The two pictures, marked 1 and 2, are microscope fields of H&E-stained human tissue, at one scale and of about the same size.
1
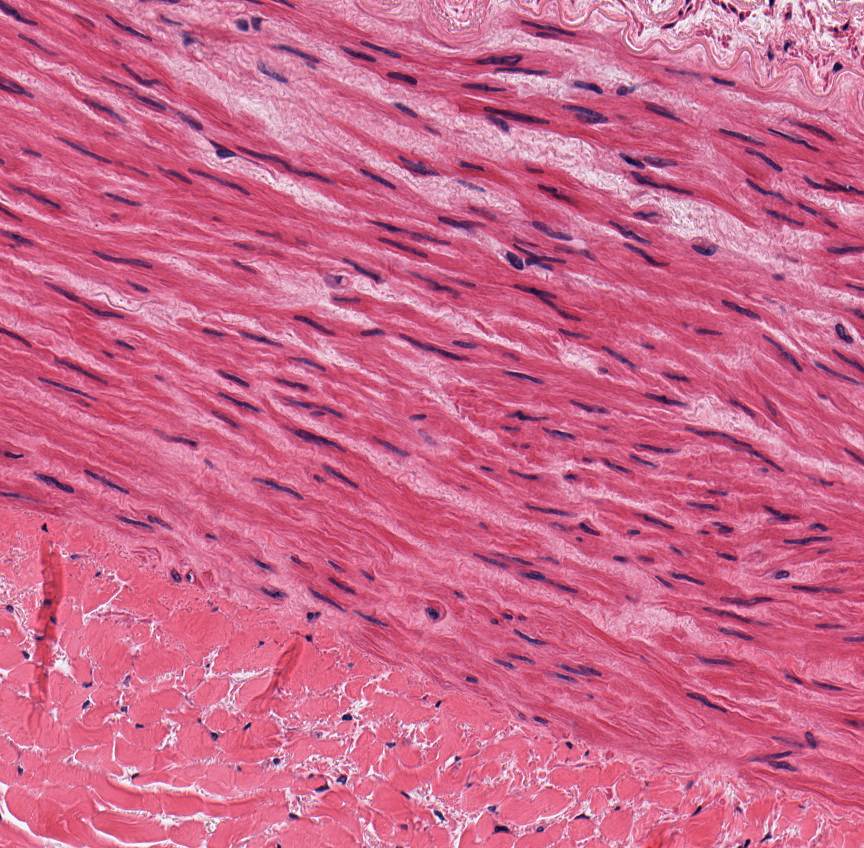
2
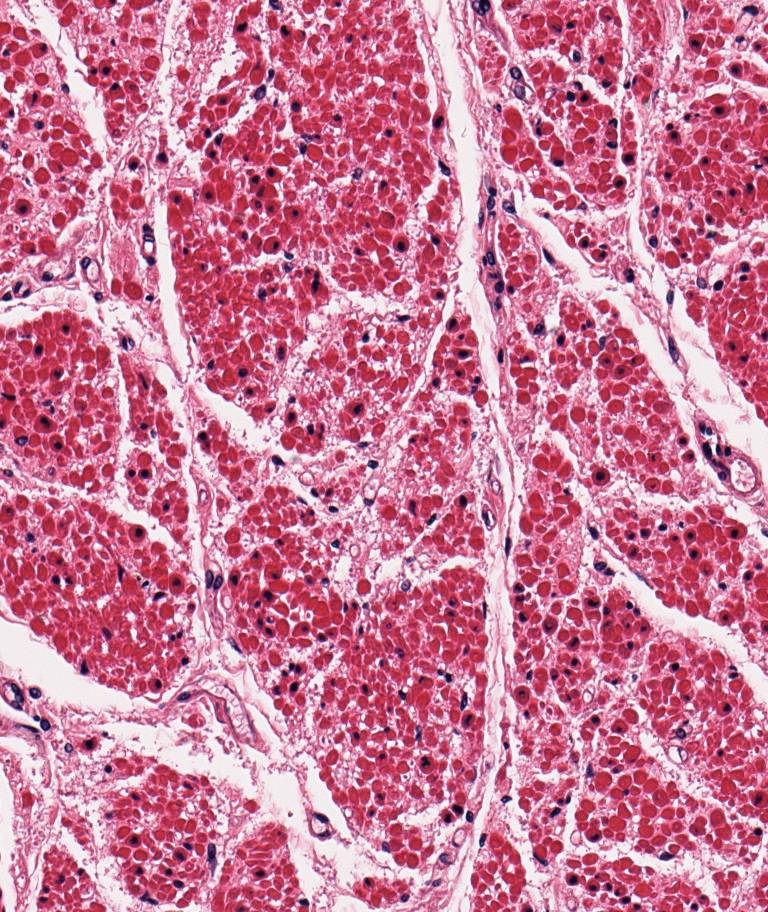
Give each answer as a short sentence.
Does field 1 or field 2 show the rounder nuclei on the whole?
The nuclei are rounder in field 2.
